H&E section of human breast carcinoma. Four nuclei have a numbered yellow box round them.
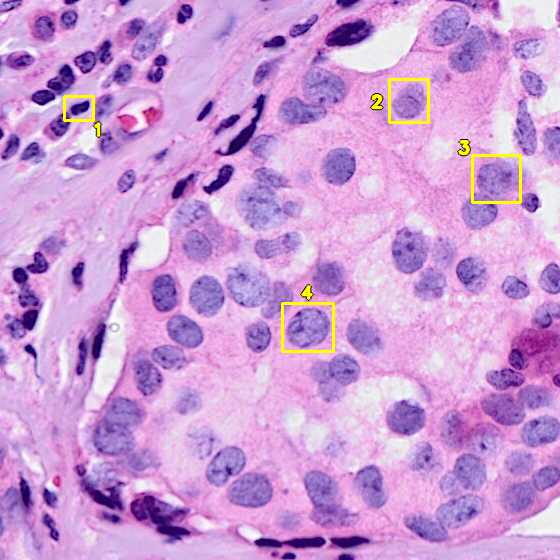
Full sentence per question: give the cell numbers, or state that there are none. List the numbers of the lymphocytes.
The nucleus labelled 1 alone belongs to a lymphocyte; the other marked nuclei do not.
